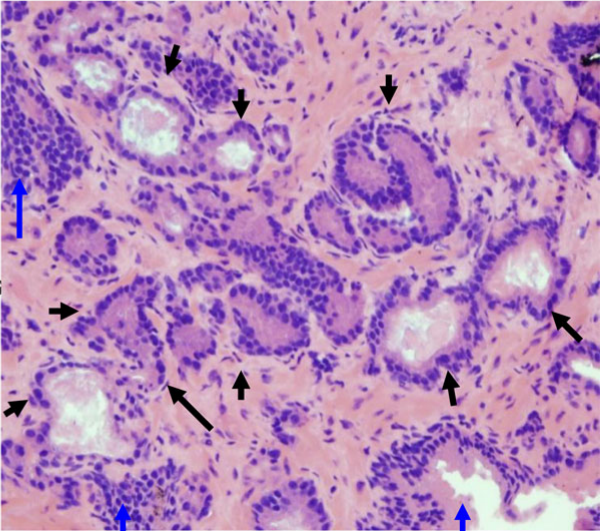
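Prostate tissue stained pink and purple, with numerous small, closely packed glands of prostatic adenocarcinoma in pink fibromuscular stroma. These glands are lined by one layer of cells with round purple nuclei, and some lumina hold pale pink secretion. Larger benign glands at the margins have wider lumina and a lining with more than one layer of nuclei.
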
